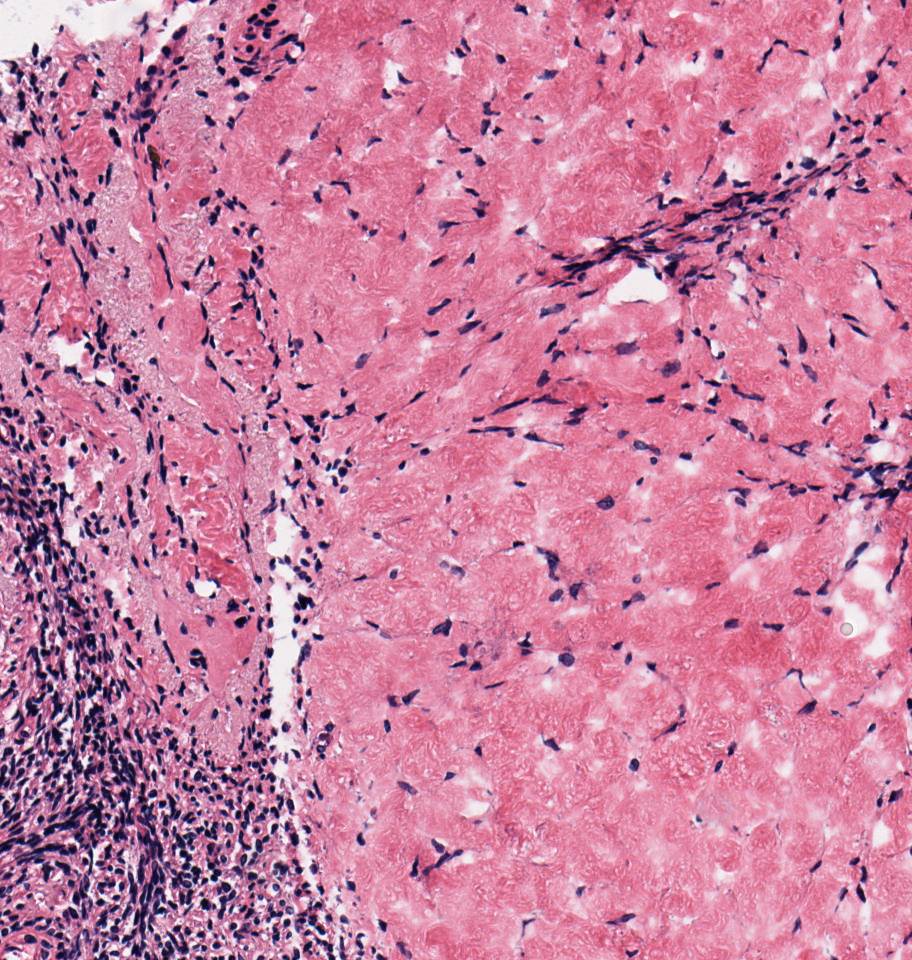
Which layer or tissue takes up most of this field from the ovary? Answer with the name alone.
corpus albicans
